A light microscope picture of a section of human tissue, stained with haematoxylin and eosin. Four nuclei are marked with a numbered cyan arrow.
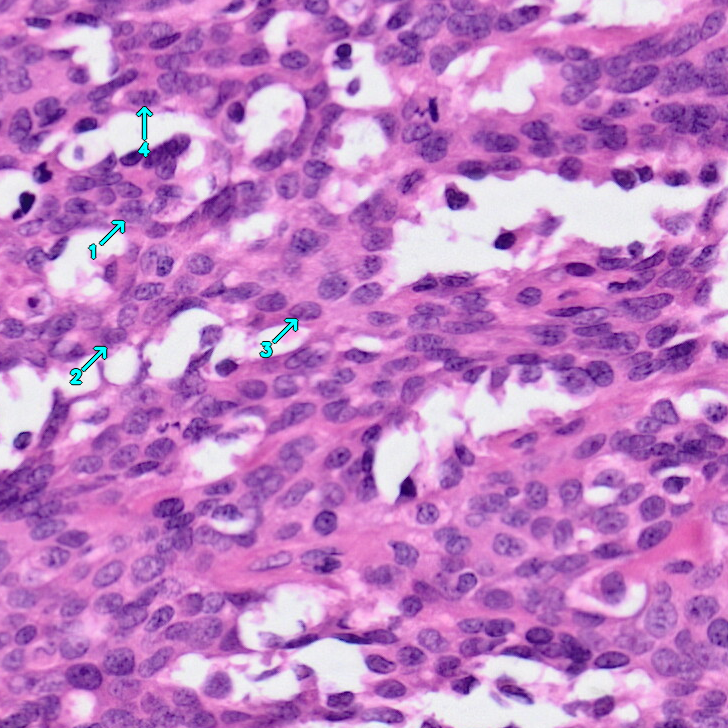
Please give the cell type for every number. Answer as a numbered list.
1. carcinoma cell
2. carcinoma cell
3. carcinoma cell
4. macrophage or monocyte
